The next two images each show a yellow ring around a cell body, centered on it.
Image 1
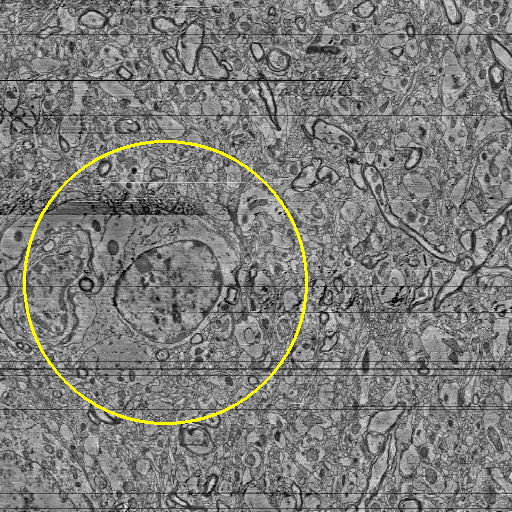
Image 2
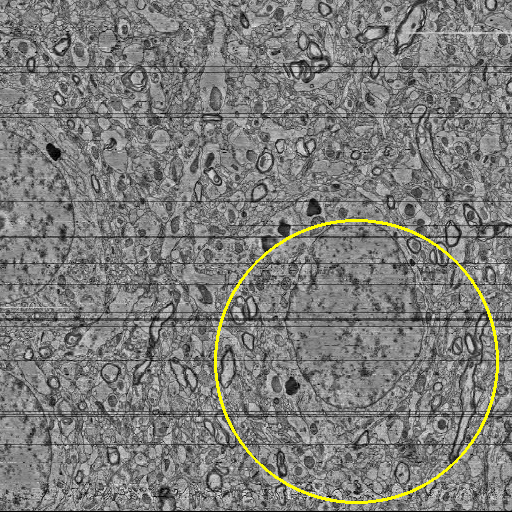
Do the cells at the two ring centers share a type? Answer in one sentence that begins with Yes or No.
No, across the two images the cells at the ring centers are of two types.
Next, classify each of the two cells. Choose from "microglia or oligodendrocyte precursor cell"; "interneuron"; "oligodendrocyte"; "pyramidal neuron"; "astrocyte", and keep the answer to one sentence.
In the first picture it is a microglial cell or oligodendrocyte precursor cell; in the second it is a pyramidal neuron.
